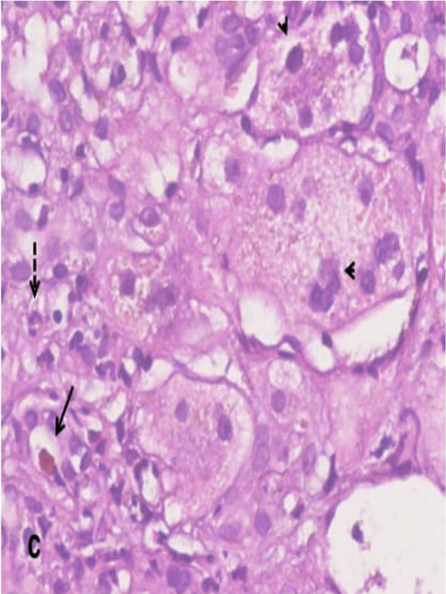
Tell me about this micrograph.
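Liver tissue in which hepatocytes show giant cell transformation: several very large cells, each holding multiple dark nuclei within abundant pale pink, finely granular cytoplasm, are outlined by thin pink strands with clear clefts along their borders. Smaller hepatocytes and scattered small cells with dark, compact nuclei lie between them, especially at the left edge. Near the lower left, a small round space containing a reddish-brown plug is encircled by cells, forming a rosette. Numerous clear vacuoles and empty spaces are scattered through the field, and a larger empty space lies at the lower right.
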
